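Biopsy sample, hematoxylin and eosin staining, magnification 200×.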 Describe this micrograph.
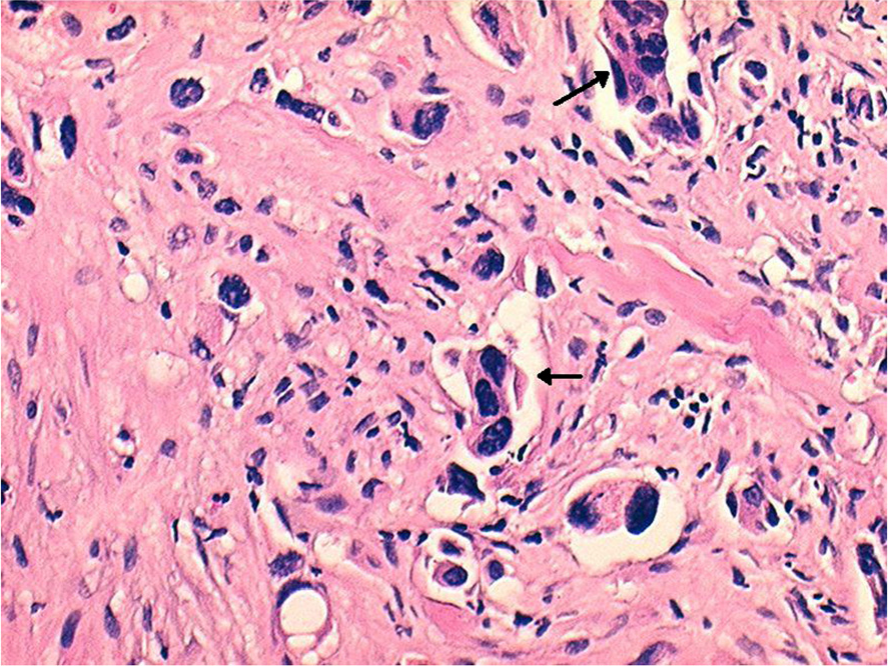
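Small clusters of anaplastic cells lie scattered within pale pink fibrous stroma, many sitting in clear spaces that separate them from the surrounding tissue. Their nuclei are large, dark purple and irregular, varying markedly in size and shape, some crowded together within one cluster, so they stand out against the small, elongated nuclei of the stromal cells around them. The stroma between the clusters holds many small dark nuclei and bands of denser pink fibres.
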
